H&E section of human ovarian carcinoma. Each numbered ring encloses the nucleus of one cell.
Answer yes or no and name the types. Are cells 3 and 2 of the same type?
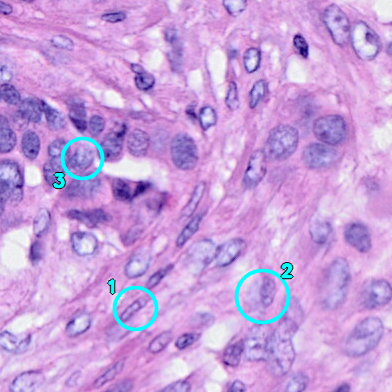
No, cell 3 is a carcinoma cell, whereas a fibroblast is what cell 2 is.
